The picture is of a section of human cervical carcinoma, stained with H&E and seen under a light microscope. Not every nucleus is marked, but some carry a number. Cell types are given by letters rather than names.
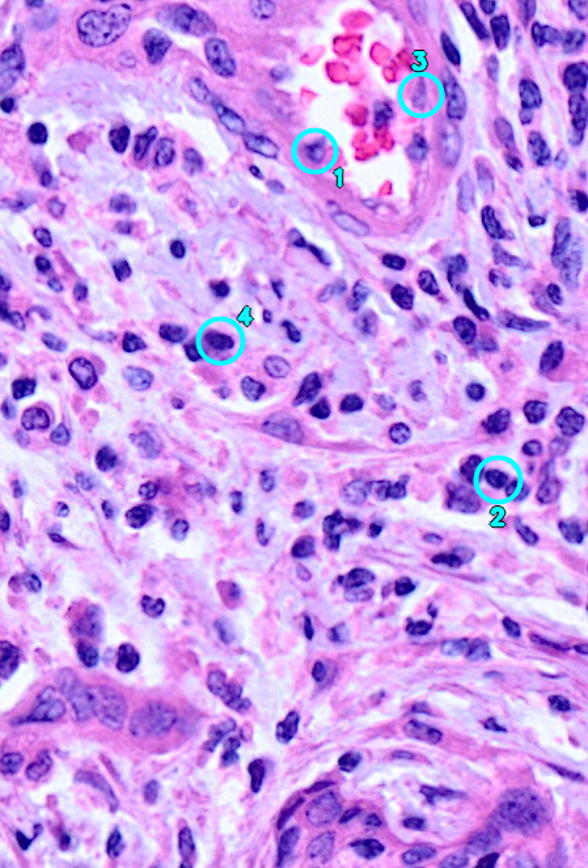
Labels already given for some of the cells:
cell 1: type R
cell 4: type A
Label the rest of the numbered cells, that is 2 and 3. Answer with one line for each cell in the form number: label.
2: type A
3: type R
